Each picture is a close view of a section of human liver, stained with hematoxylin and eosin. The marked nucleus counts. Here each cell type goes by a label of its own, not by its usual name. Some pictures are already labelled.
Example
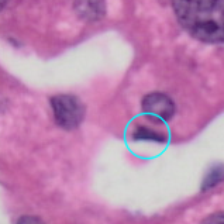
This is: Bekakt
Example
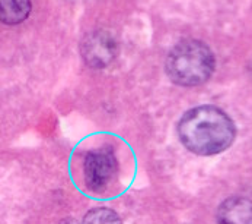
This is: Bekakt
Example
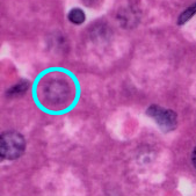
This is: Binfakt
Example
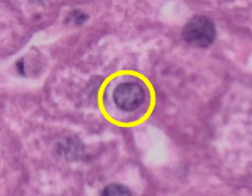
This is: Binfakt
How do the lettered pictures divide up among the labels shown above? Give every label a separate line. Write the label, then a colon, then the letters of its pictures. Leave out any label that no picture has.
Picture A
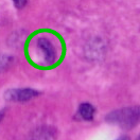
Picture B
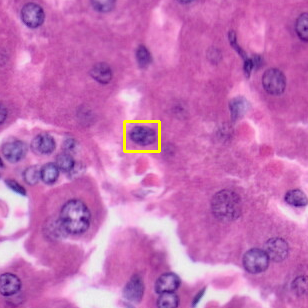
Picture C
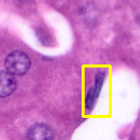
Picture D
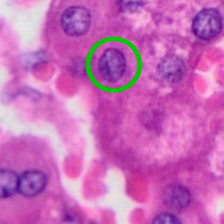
Bekakt: A, B, C
Binfakt: D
